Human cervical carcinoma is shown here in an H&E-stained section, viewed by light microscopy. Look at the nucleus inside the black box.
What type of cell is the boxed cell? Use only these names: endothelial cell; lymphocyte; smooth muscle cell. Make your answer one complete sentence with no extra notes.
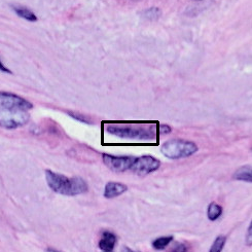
In this tissue section, the boxed cell is to be classed as an endothelial cell.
